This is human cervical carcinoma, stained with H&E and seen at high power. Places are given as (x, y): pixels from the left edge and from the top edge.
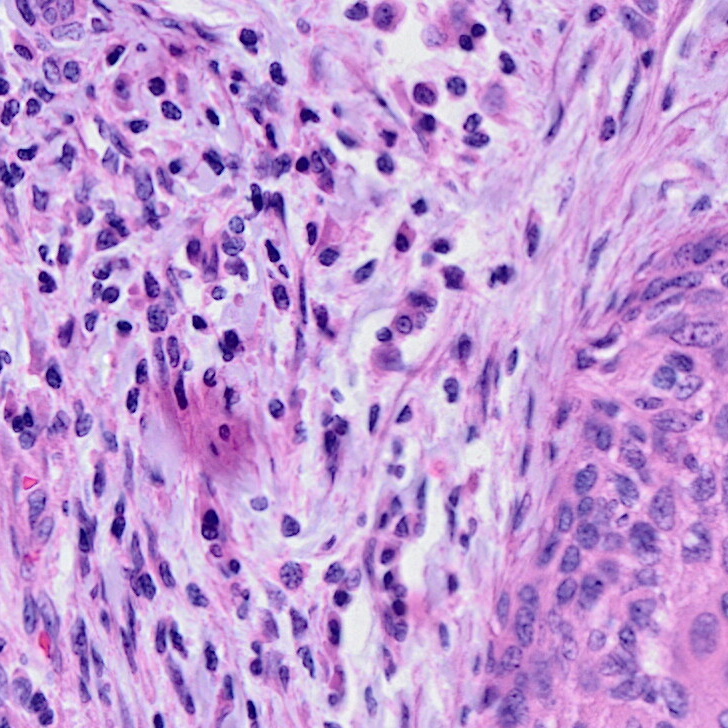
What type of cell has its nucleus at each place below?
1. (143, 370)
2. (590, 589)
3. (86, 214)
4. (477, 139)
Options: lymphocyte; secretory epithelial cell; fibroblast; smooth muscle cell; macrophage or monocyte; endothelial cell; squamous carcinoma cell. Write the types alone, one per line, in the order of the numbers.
lymphocyte
squamous carcinoma cell
lymphocyte
lymphocyte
